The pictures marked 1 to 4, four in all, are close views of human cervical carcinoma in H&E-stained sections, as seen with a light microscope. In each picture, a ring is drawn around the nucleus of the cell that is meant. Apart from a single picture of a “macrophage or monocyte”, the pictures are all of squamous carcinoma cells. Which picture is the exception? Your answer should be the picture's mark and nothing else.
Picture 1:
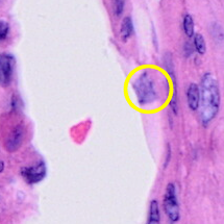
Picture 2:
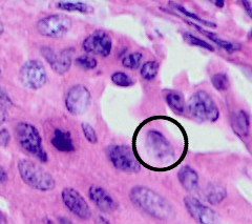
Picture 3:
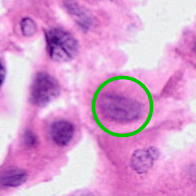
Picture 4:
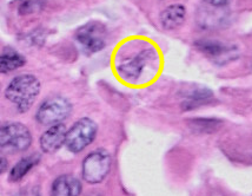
4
